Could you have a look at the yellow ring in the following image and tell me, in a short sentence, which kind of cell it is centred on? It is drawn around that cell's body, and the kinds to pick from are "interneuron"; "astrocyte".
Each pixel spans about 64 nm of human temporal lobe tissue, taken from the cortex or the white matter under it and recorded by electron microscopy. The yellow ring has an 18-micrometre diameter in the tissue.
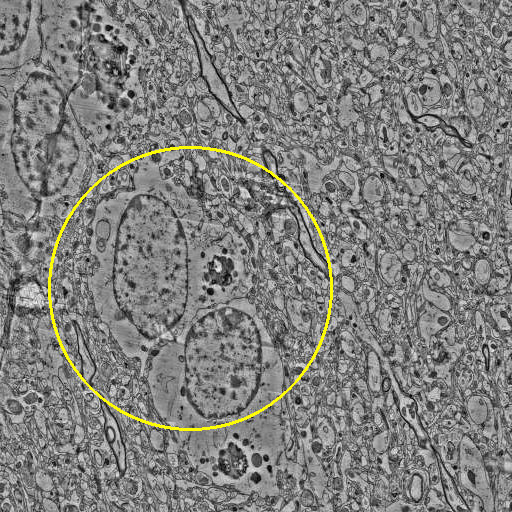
The ring is centred on the body of an astrocyte.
